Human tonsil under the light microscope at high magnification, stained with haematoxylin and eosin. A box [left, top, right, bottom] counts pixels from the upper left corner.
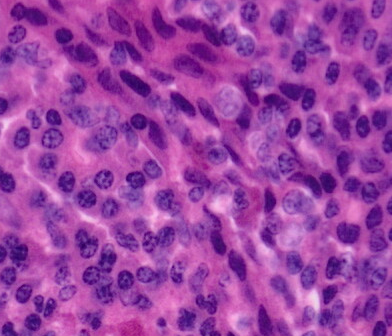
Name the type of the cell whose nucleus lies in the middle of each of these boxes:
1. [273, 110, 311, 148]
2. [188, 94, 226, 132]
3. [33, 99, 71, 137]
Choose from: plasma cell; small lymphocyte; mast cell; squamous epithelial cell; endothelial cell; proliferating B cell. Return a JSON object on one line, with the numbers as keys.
{"1": "plasma cell", "2": "squamous epithelial cell", "3": "plasma cell"}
